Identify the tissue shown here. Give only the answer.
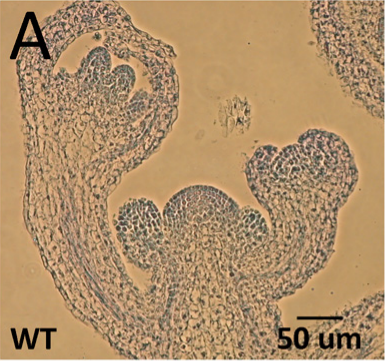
shoot apical meristems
